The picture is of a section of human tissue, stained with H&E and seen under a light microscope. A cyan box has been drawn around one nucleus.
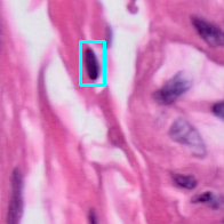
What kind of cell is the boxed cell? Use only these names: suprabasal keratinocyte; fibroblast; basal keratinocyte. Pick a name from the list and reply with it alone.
fibroblast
